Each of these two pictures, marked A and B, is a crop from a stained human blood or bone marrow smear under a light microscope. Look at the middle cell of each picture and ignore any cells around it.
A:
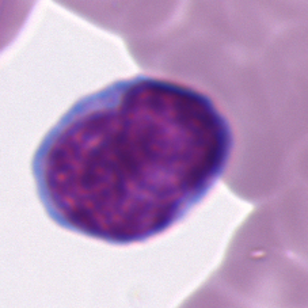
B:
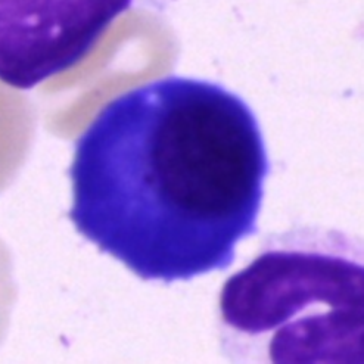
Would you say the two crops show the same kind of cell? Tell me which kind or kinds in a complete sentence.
No, the cells are a lymphocyte in crop A and a plasma cell in crop B.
